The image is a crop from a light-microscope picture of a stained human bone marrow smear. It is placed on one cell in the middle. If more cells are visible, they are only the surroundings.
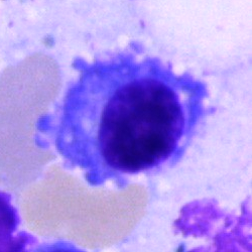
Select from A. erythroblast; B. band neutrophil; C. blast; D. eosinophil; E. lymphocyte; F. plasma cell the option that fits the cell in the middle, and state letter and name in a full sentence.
The correct option, F, names the middle cell as a plasma cell.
